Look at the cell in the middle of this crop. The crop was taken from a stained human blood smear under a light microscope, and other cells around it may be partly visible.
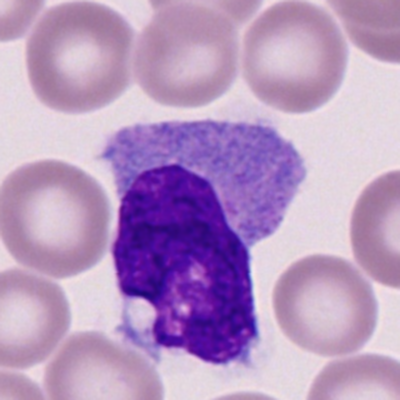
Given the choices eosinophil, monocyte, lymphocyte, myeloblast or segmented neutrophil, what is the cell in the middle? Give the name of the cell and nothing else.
monocyte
